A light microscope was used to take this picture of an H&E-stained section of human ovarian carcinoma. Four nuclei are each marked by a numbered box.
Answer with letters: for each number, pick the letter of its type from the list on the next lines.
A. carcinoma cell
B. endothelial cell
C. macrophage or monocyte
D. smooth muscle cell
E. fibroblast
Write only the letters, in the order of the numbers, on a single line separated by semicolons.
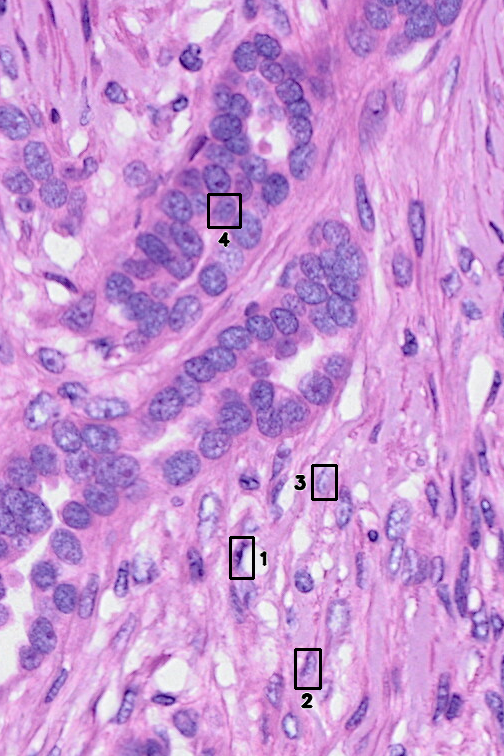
E; E; E; A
